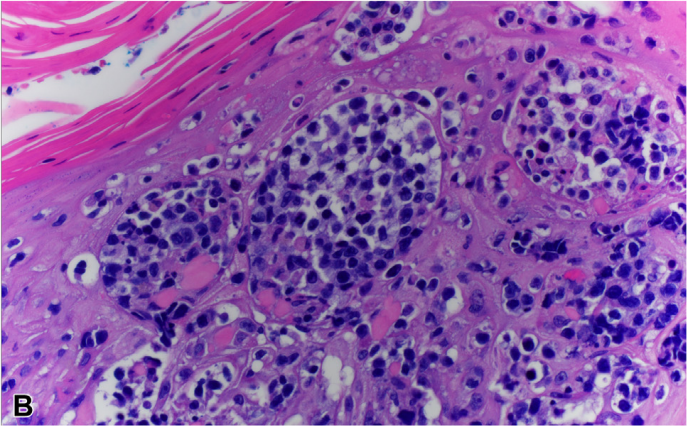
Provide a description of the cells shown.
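This is epidermis infiltrated by atypical lymphocytes. Within the pink squamous epithelium lie rounded nests and loose clusters of small to medium cells with dark, hyperchromatic, somewhat irregular nuclei and scant cytoplasm; many are surrounded by clear halos. The nests are rimmed by keratinocytes with abundant pink cytoplasm and paler oval nuclei. Single lymphoid cells also lie scattered between keratinocytes. A few brightly eosinophilic, rounded bodies lie among the cells. At the top, a band of compact pink keratin overlies the epithelium. The lymphoid cells occupy the epidermis itself rather than lying beneath it.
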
